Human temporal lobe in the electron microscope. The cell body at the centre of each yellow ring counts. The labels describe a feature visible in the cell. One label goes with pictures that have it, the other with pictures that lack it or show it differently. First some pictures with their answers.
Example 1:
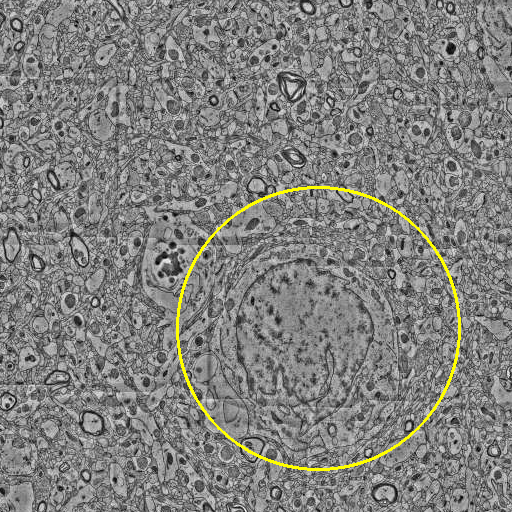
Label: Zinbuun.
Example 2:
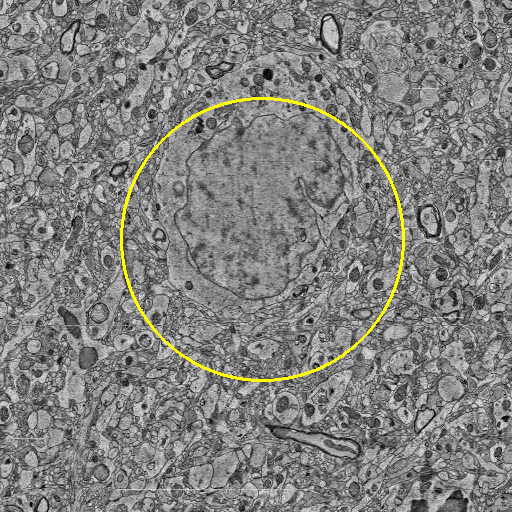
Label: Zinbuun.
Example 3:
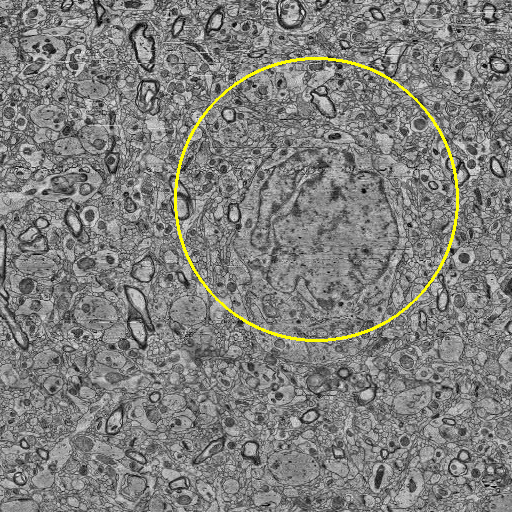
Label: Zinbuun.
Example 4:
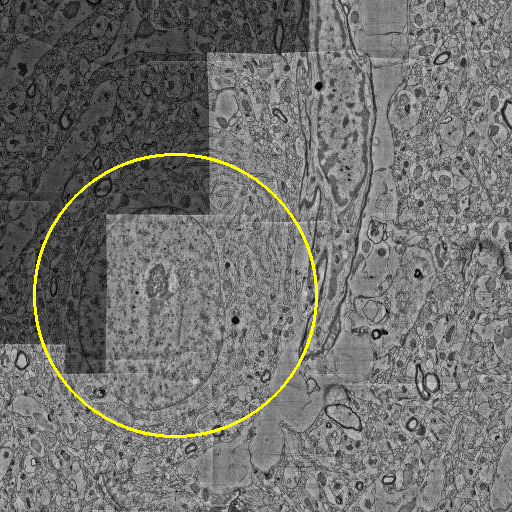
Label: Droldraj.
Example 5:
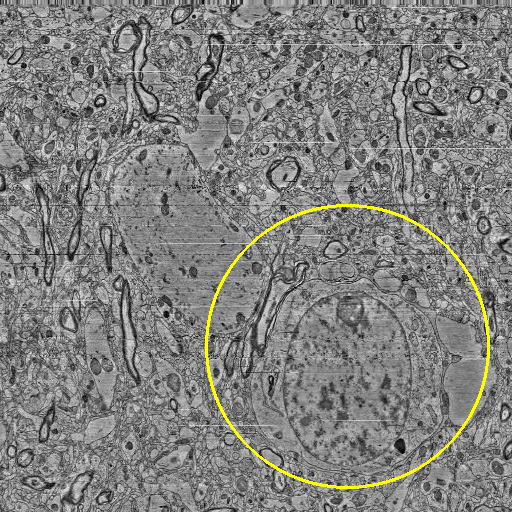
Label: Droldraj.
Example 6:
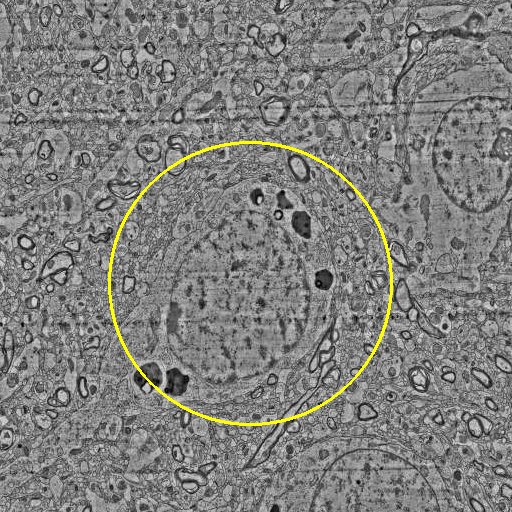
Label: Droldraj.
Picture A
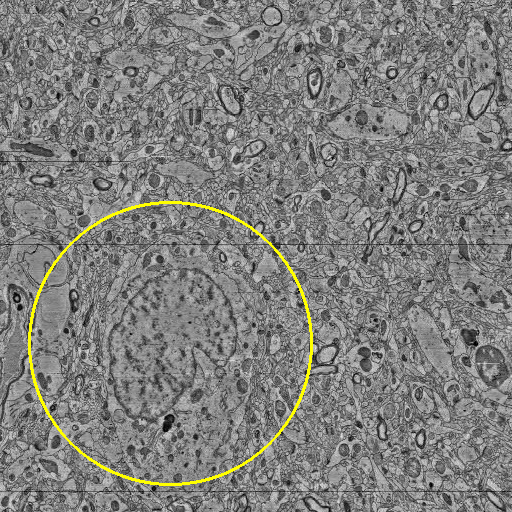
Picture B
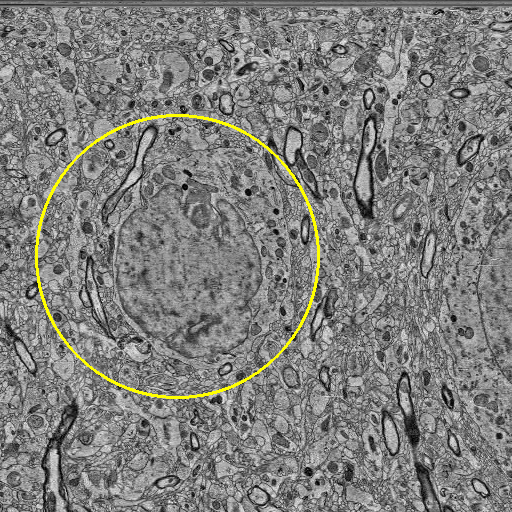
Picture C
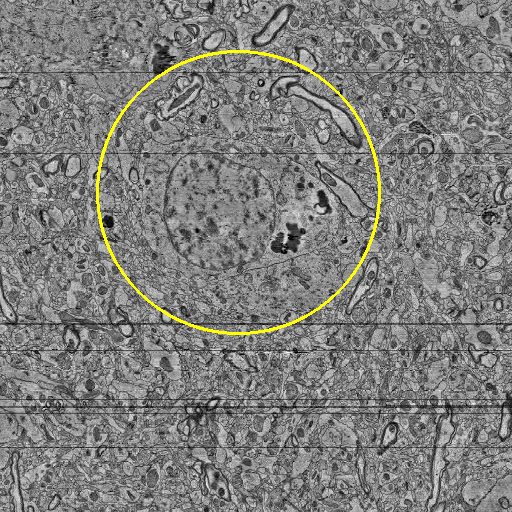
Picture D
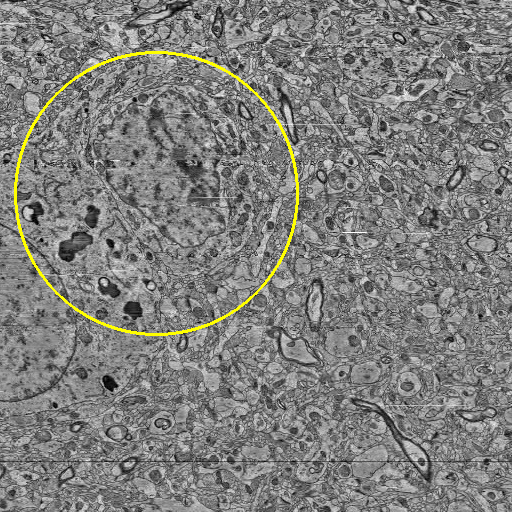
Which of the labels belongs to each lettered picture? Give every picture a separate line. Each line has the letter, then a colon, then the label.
A: Zinbuun.
B: Zinbuun.
C: Droldraj.
D: Droldraj.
